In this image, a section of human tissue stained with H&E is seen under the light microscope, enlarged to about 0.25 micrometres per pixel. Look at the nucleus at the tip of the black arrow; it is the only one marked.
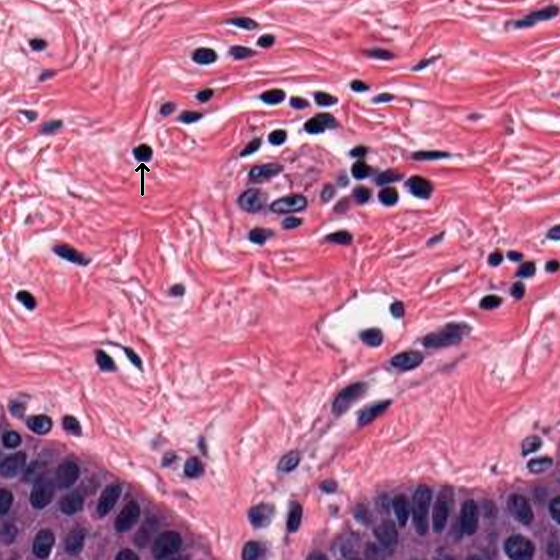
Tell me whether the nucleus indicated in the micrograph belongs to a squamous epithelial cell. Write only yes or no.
no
